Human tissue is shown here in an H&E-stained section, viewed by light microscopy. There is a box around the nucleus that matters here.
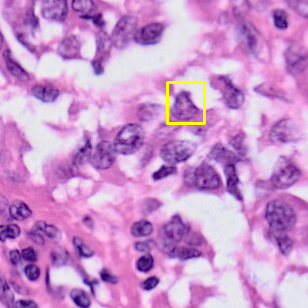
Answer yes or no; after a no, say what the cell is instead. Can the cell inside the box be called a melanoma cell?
Yes.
